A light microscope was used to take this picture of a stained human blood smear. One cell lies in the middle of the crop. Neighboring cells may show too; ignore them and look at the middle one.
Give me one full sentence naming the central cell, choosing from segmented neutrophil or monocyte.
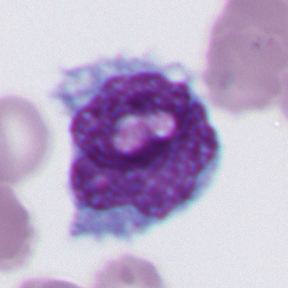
The cell centered in this field of view is a monocyte.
